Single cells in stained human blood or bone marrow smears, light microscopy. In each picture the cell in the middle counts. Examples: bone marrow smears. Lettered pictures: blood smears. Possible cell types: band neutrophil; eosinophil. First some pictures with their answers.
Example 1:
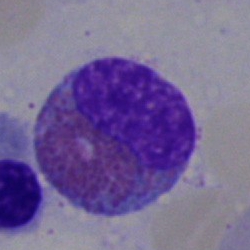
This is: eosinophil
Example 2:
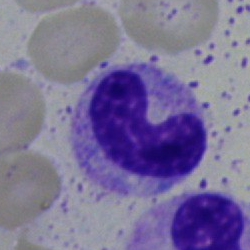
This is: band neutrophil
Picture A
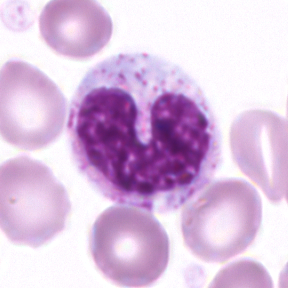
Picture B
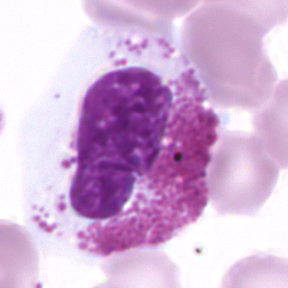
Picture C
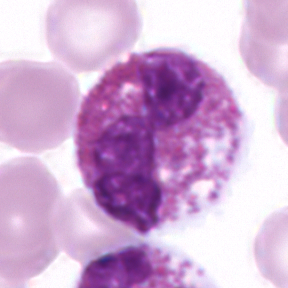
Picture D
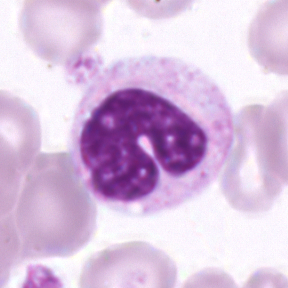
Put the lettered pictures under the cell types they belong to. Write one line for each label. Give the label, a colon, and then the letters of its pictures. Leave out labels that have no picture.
band neutrophil: A, D
eosinophil: B, C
